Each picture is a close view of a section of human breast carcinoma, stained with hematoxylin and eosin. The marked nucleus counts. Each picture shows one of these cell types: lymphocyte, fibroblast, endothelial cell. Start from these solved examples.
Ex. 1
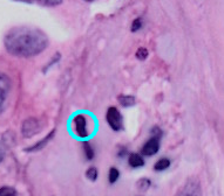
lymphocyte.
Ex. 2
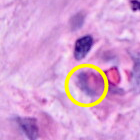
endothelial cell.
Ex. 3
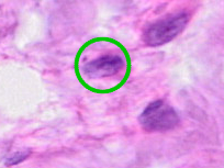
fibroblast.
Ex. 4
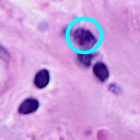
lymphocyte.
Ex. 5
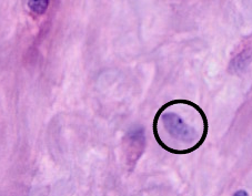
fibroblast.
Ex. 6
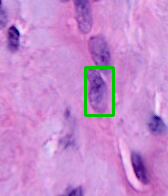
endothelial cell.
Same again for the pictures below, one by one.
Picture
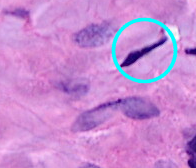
fibroblast.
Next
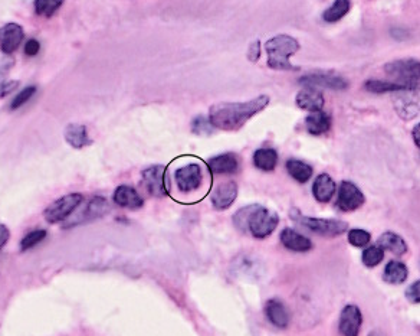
lymphocyte.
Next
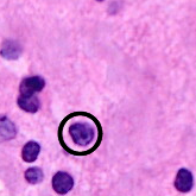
lymphocyte.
